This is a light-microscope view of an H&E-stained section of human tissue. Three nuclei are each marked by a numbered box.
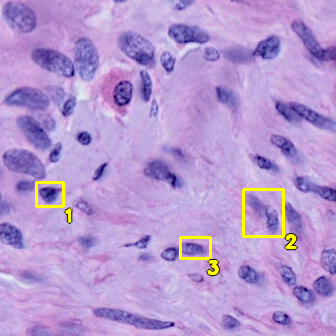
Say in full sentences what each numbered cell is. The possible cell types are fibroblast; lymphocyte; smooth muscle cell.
Cell 1 is a fibroblast. Cells 2 and 3 are smooth muscle cells.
